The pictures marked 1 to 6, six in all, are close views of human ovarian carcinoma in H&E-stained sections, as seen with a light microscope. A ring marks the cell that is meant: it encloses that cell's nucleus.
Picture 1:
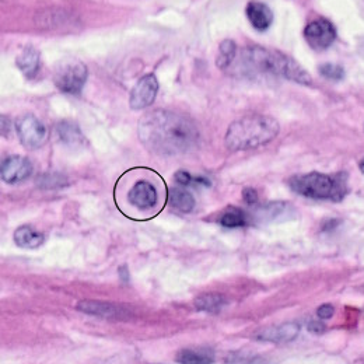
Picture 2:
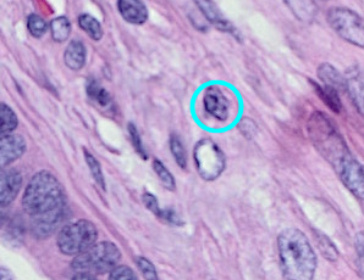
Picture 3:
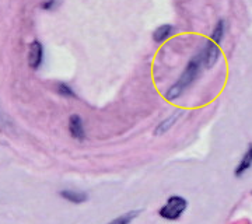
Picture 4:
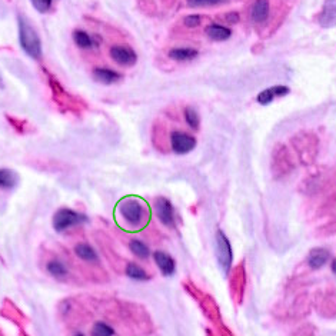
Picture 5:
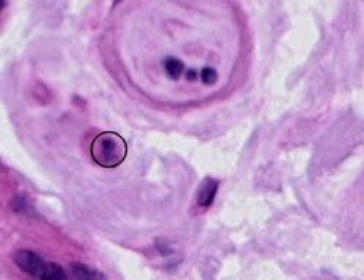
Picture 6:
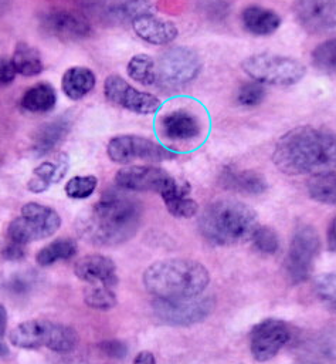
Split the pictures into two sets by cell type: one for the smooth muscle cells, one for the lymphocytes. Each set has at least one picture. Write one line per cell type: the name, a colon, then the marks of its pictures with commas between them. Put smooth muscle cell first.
smooth muscle cell: 3, 4, 5
lymphocyte: 1, 2, 6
